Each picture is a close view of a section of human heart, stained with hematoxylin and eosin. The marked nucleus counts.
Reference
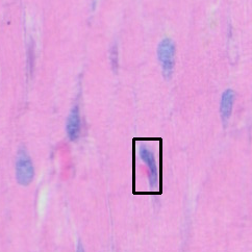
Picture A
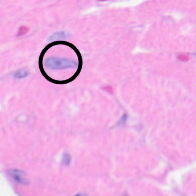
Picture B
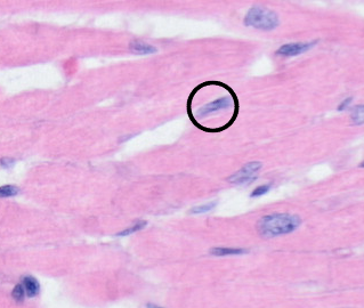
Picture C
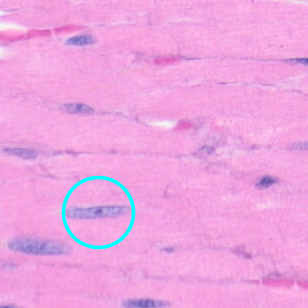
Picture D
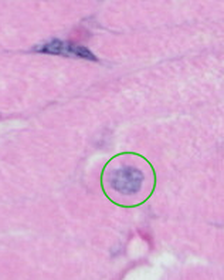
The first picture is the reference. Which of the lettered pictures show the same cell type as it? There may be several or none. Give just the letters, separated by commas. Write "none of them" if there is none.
B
